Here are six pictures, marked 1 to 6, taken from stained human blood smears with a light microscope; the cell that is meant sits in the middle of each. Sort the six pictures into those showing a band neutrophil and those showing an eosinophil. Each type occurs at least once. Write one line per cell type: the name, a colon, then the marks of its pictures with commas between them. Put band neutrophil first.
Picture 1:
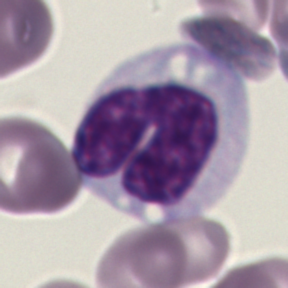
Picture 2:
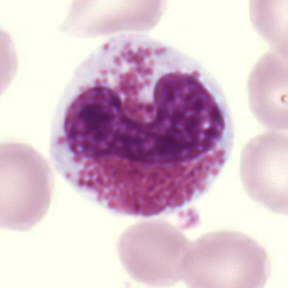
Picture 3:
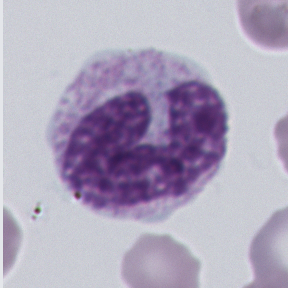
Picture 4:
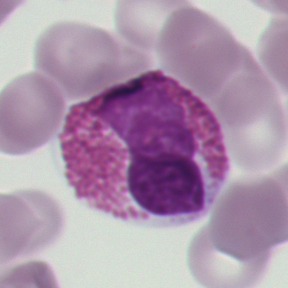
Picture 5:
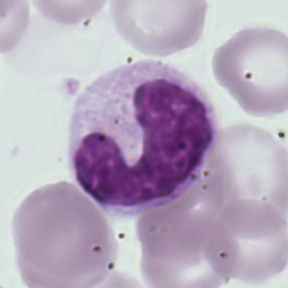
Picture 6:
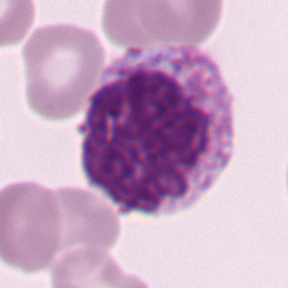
band neutrophil: 1, 3, 5, 6
eosinophil: 2, 4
